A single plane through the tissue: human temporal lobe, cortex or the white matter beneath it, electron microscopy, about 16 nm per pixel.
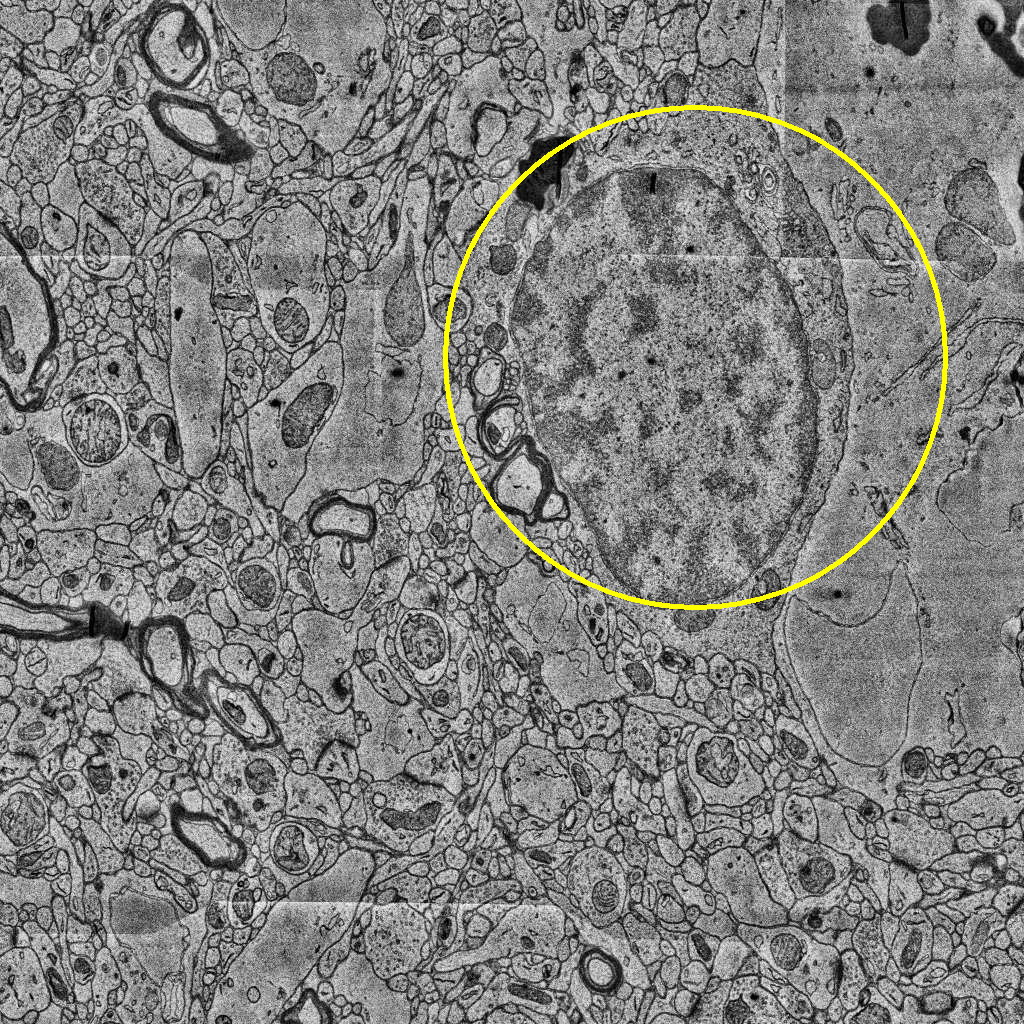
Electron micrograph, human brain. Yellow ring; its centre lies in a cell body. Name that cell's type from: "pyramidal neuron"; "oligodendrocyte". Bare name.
oligodendrocyte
